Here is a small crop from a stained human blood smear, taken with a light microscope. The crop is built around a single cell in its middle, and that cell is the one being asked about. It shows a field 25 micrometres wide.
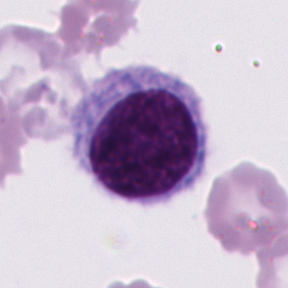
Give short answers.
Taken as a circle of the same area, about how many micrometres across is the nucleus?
9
